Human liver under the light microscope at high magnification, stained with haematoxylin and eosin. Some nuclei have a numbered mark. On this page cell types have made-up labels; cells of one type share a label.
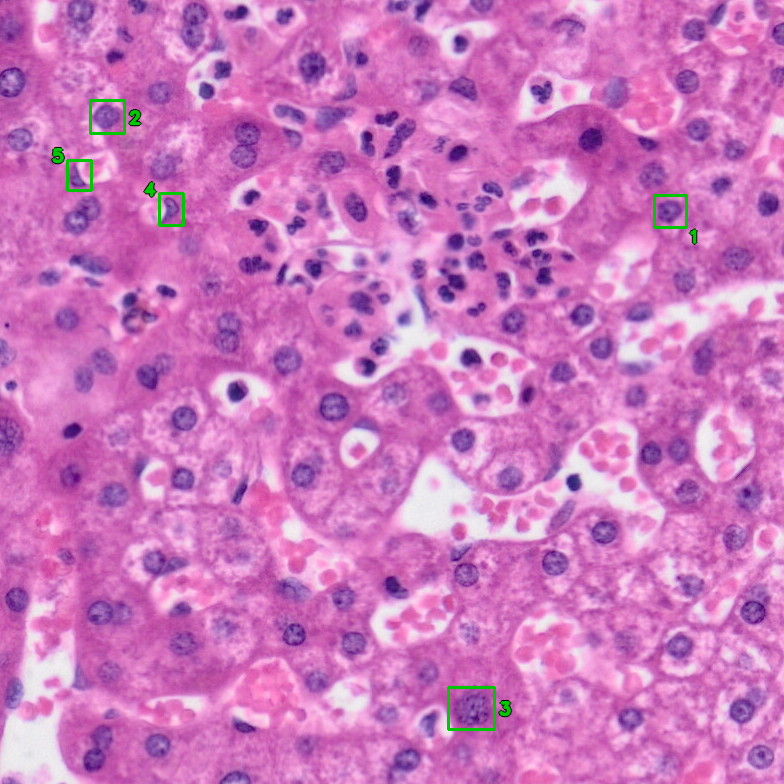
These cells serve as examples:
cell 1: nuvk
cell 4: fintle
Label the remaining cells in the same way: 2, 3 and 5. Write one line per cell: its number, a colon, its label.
2: nuvk
3: nuvk
5: fintle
